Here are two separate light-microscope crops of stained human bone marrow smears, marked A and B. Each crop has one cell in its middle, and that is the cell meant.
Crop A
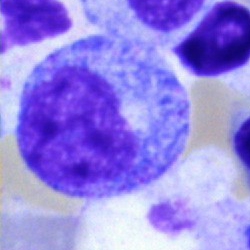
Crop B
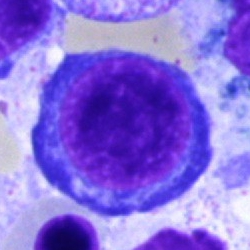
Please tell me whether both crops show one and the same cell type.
no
